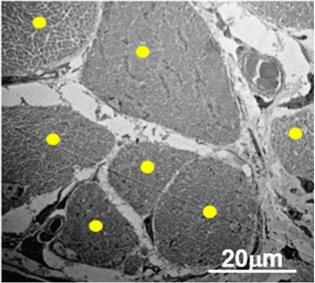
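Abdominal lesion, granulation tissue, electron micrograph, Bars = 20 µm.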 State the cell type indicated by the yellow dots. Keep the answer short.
Large matured muscle fibers.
